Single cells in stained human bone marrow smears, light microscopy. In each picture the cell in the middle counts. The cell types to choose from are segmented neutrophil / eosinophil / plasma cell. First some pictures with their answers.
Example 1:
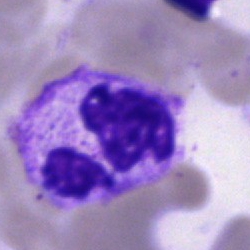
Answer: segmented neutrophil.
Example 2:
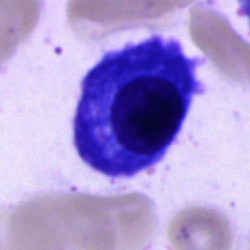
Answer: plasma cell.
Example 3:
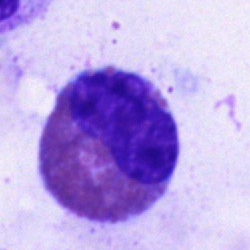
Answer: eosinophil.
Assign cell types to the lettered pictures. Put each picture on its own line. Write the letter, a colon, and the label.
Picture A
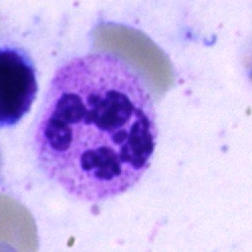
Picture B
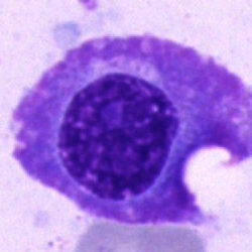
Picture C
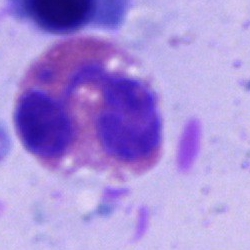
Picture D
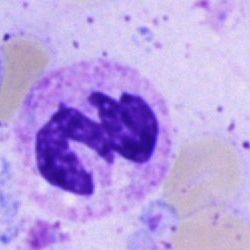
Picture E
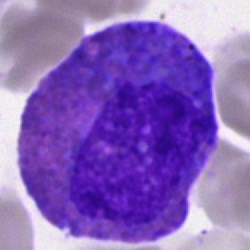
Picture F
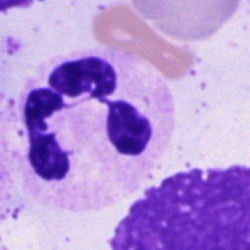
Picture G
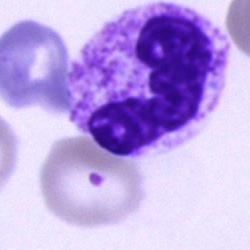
A: segmented neutrophil.
B: plasma cell.
C: eosinophil.
D: segmented neutrophil.
E: eosinophil.
F: segmented neutrophil.
G: segmented neutrophil.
